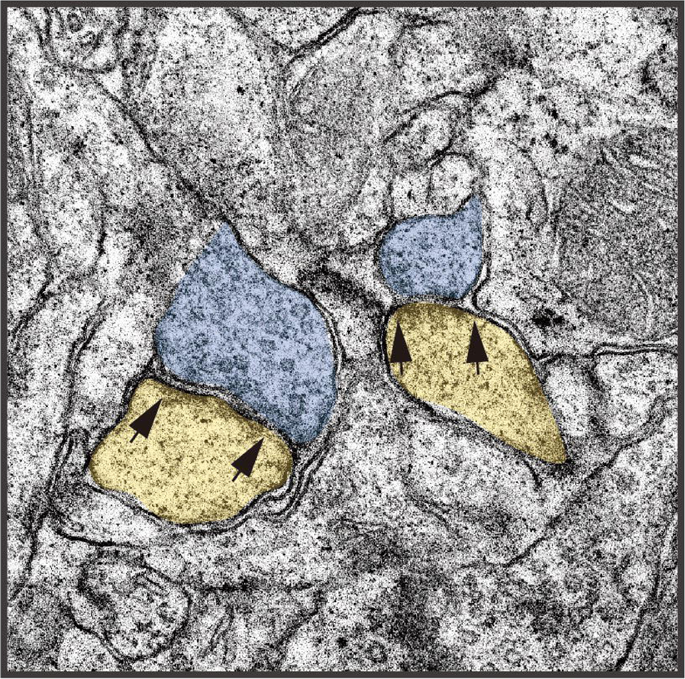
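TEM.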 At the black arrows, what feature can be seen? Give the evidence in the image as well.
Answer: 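Pairs of black arrows lie where yellow-tinted profiles abut blue-tinted profiles. The apposed membrane between the arrows appears electron-dense.
Synaptic densities.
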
